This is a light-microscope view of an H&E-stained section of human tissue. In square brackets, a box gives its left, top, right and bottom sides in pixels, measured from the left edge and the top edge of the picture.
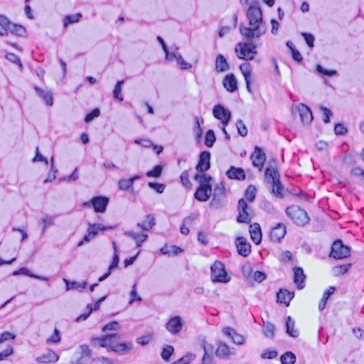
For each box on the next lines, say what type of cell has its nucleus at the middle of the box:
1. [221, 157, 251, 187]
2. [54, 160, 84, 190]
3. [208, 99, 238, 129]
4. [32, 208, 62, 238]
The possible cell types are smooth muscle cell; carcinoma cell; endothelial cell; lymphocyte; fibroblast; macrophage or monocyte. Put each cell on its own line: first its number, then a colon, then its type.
1: lymphocyte
2: fibroblast
3: lymphocyte
4: fibroblast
